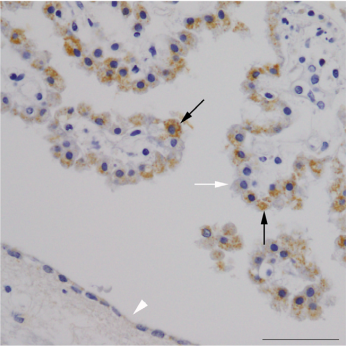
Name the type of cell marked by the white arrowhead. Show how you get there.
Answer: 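Ependymal cells. A thin single-cell lining with flattened nuclei borders the open space. It covers a paler tissue at the lower left corner.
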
